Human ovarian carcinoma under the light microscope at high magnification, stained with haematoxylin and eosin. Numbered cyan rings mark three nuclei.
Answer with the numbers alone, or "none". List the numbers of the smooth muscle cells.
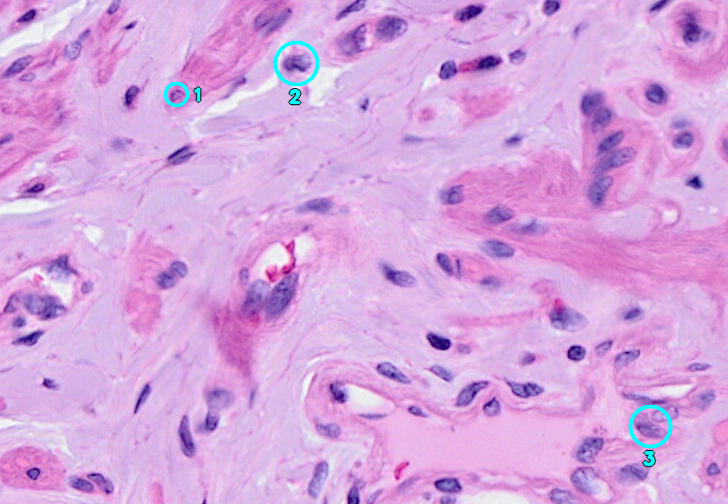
1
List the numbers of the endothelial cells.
3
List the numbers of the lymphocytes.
none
